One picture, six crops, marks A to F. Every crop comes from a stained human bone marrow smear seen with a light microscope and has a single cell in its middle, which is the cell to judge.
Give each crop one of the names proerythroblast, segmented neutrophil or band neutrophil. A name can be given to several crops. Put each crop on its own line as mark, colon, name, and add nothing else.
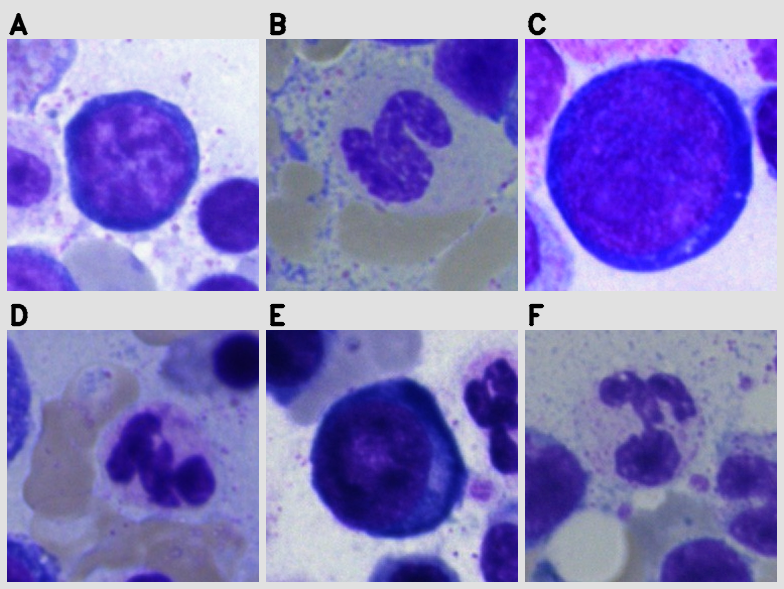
A: proerythroblast
B: band neutrophil
C: proerythroblast
D: segmented neutrophil
E: proerythroblast
F: segmented neutrophil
